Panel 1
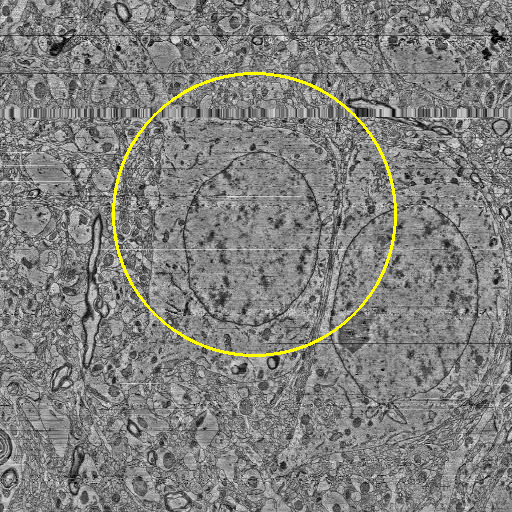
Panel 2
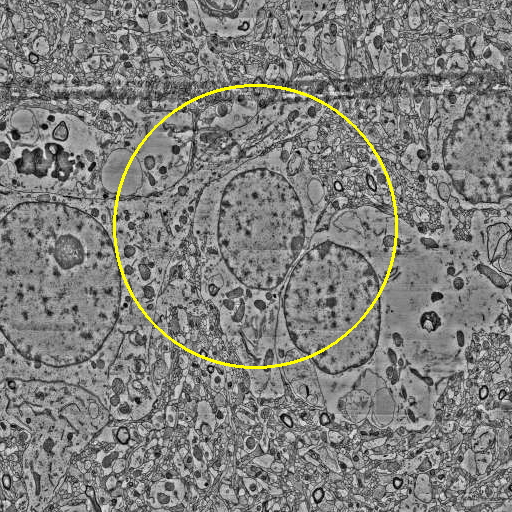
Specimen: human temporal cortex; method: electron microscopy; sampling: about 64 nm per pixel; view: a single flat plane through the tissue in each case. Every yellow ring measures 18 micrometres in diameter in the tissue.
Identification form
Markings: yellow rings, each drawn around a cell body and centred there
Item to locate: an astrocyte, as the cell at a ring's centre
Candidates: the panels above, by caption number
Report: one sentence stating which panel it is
It is Panel 2.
